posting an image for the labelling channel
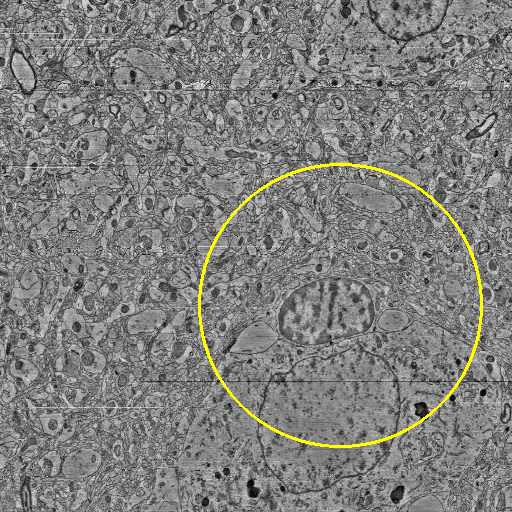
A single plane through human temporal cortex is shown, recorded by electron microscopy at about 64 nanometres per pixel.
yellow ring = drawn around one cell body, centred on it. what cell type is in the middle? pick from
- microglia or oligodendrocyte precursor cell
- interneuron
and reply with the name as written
microglia or oligodendrocyte precursor cell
